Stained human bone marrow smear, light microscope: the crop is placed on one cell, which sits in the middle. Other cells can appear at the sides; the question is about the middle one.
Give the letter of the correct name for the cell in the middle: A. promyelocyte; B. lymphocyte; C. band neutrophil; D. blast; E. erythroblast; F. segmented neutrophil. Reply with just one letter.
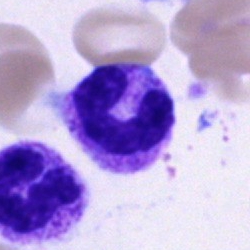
C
